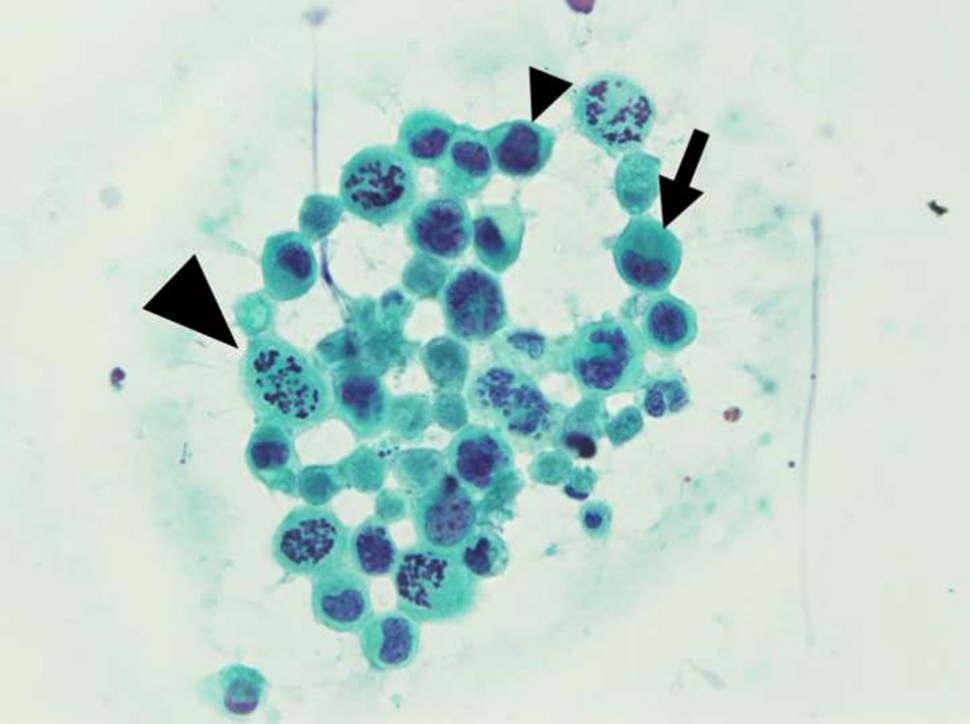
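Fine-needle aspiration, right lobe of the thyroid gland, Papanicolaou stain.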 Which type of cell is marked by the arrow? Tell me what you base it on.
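The marked cell is round with ample green cytoplasm. Its nucleus is pushed to one side of the cell.
Answer: signet-ring-cell carcinoma cells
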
